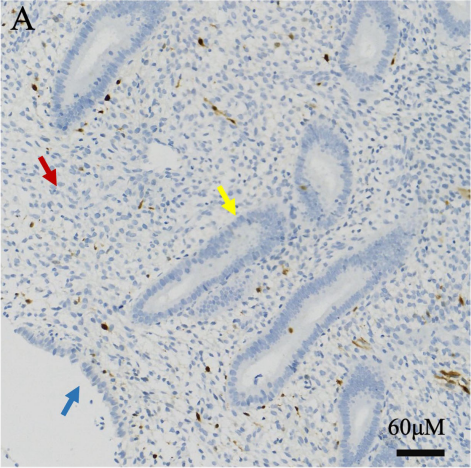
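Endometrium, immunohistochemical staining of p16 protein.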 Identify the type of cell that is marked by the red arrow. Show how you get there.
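The arrow points into loose tissue between the glands. The cells there have small oval to spindle-shaped nuclei scattered in a loose background.
Stromal cells.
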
